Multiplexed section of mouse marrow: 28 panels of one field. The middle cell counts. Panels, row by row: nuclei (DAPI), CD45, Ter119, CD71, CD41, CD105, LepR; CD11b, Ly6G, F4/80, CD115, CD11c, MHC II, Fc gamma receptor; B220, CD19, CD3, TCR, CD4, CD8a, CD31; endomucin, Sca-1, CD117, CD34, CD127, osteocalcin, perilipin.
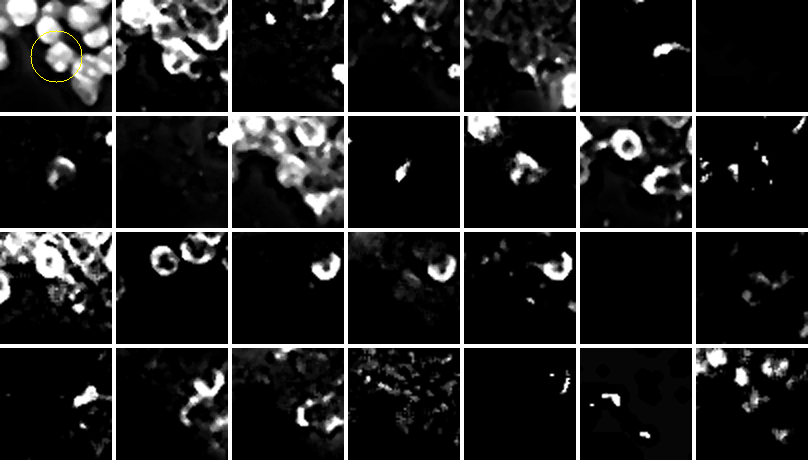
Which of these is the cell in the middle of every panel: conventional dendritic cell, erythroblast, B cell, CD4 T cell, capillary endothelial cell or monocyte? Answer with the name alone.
monocyte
